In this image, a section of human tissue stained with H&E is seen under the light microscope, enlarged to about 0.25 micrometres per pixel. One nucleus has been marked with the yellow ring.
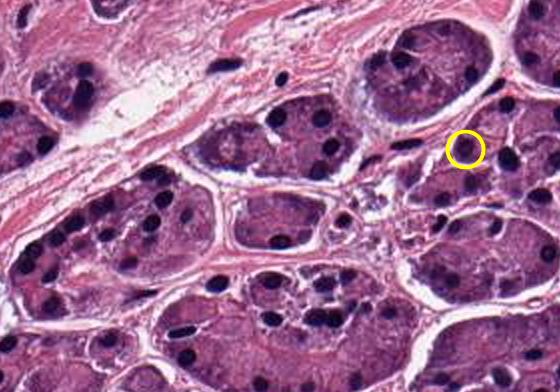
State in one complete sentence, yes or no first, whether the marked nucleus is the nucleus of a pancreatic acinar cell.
Yes, the marked nucleus is to be assigned to a pancreatic acinar cell.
